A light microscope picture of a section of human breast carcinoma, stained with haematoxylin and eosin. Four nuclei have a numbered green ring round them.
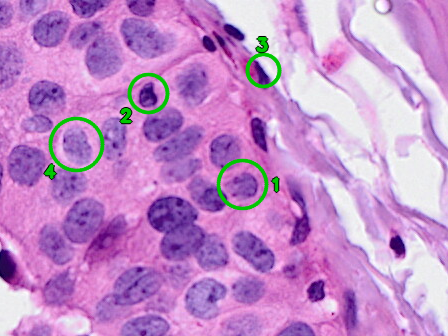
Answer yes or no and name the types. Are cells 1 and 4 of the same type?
Yes, both are carcinoma cells.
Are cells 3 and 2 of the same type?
No, cell 3 is an endothelial cell and cell 2 is a lymphocyte.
